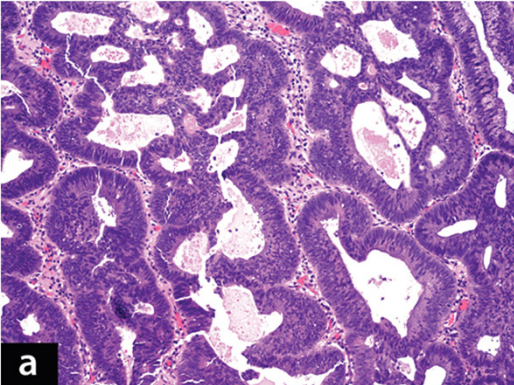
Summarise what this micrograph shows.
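Malignant glands of an adenocarcinoma are packed closely, with little stroma between them. They are lined by tall columnar cells whose elongated, dark purple nuclei are crowded and stratified in several layers. Many lumens contain pale pink granular debris of dirty necrosis.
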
